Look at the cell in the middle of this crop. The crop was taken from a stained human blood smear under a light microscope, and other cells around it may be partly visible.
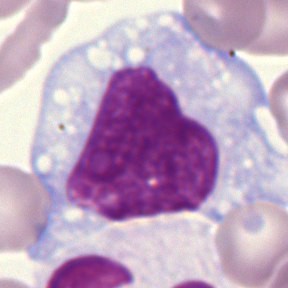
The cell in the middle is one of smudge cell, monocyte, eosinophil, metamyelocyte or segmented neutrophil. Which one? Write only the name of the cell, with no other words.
monocyte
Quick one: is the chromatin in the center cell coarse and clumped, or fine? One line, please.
The chromatin shows a fine pattern without coarse clumps.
